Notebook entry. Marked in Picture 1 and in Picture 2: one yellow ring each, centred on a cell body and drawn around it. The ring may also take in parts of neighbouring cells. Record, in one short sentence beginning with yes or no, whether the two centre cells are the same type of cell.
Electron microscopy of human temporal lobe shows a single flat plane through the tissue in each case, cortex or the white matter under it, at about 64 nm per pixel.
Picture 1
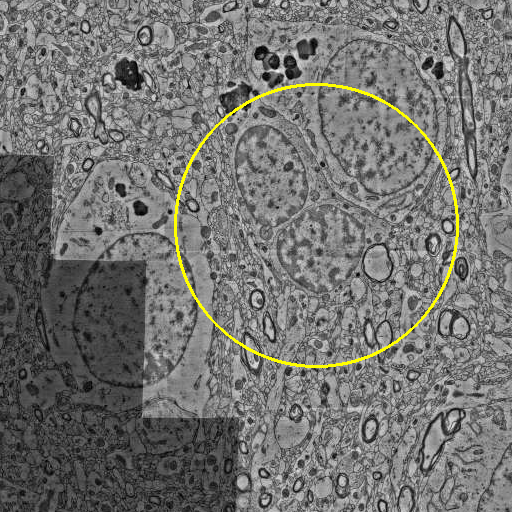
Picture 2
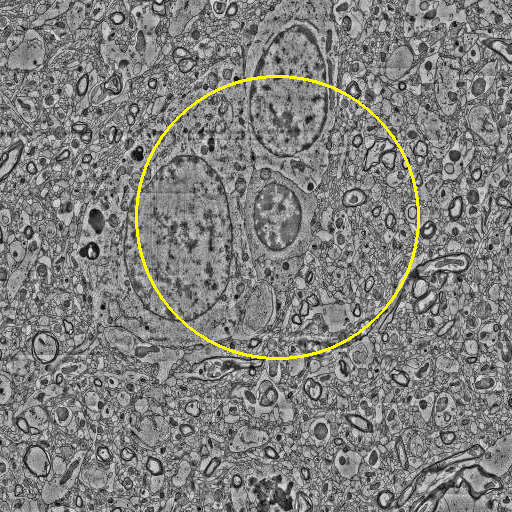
Yes, both are the same type of cell.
